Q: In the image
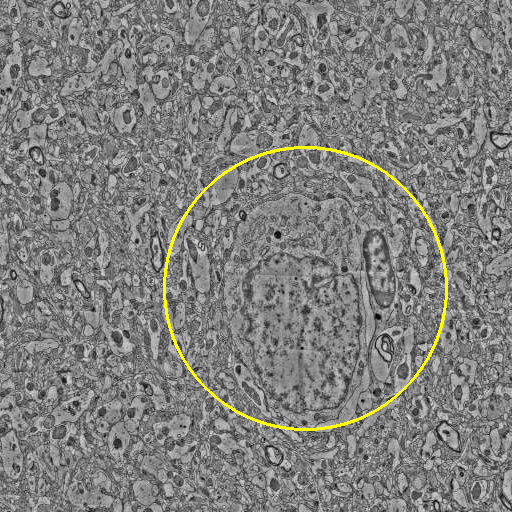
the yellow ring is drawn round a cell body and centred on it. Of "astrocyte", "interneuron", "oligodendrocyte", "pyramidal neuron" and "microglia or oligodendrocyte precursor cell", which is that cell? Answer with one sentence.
The cell centred in the ring is an interneuron.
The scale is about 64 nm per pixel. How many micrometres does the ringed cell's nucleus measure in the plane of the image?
Roughly 11 by 8 micrometres is the size of the nucleus in this plane.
